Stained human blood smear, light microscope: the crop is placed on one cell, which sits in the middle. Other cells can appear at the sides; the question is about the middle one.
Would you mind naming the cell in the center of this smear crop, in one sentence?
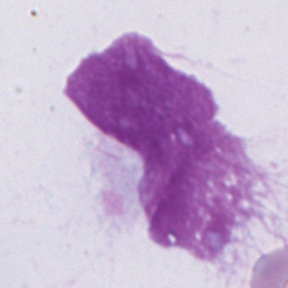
In the central position of this crop, the cell is a smudge cell.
